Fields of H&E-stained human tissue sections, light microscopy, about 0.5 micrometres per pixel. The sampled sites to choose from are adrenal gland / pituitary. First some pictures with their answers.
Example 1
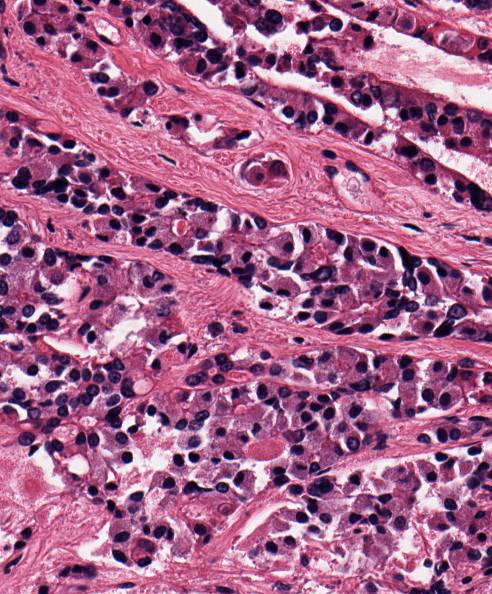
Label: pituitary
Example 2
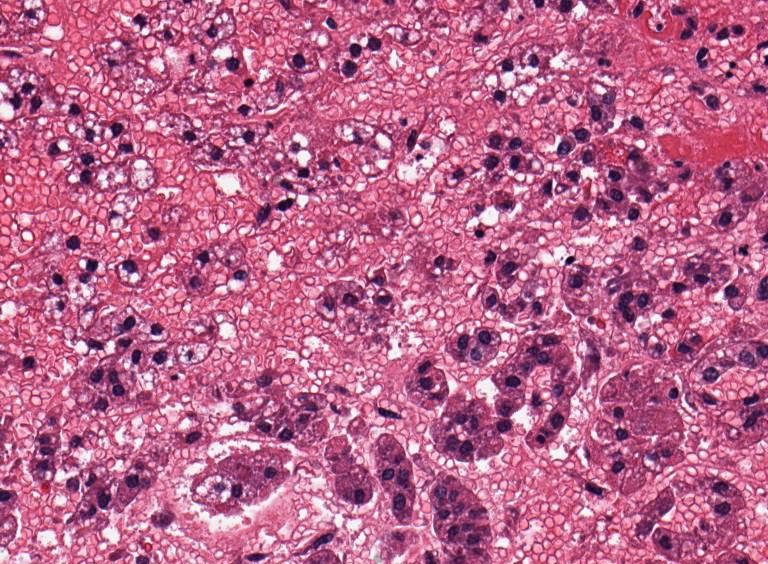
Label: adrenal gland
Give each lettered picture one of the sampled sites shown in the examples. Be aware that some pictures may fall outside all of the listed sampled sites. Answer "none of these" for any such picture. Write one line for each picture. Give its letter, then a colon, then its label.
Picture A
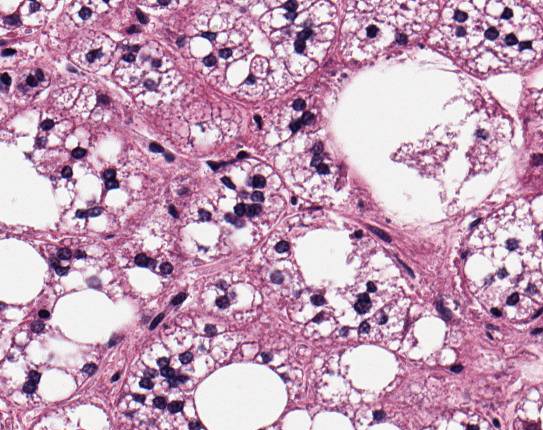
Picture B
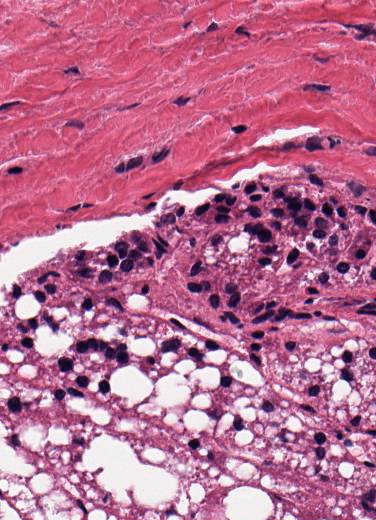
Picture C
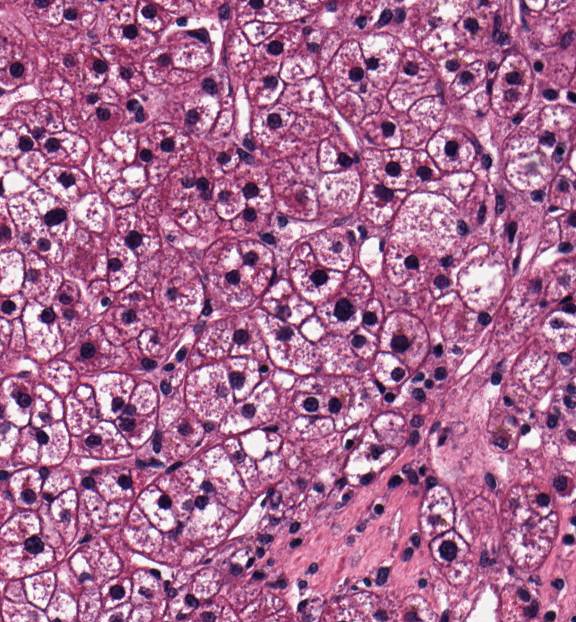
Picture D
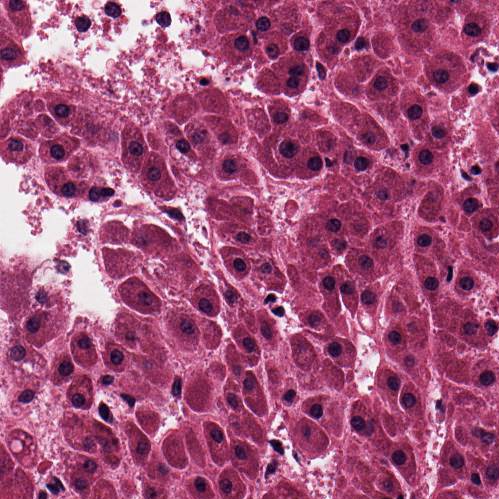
A: adrenal gland
B: adrenal gland
C: adrenal gland
D: adrenal gland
